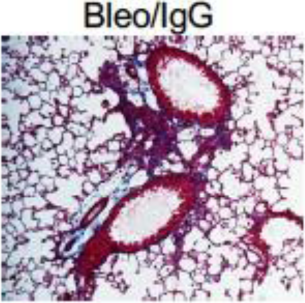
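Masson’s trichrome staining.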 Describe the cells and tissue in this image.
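This is lung tissue showing fibrosis around the airways. The blue fibres are concentrated beside the vessels and airways. Away from this area, toward the edges of the field, the alveolar network is more preserved, with open air spaces and thin pink septa. The thickened tissue is patchy rather than uniform.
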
